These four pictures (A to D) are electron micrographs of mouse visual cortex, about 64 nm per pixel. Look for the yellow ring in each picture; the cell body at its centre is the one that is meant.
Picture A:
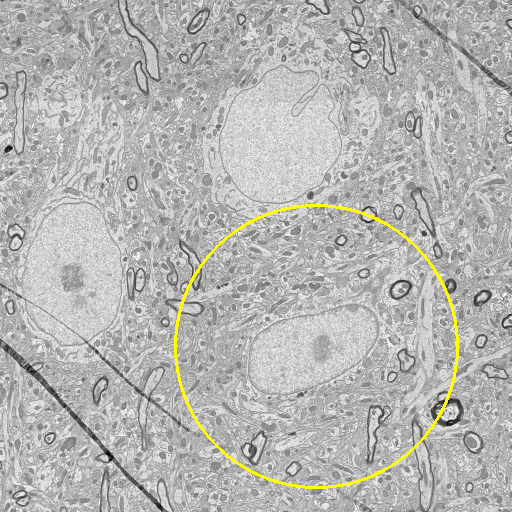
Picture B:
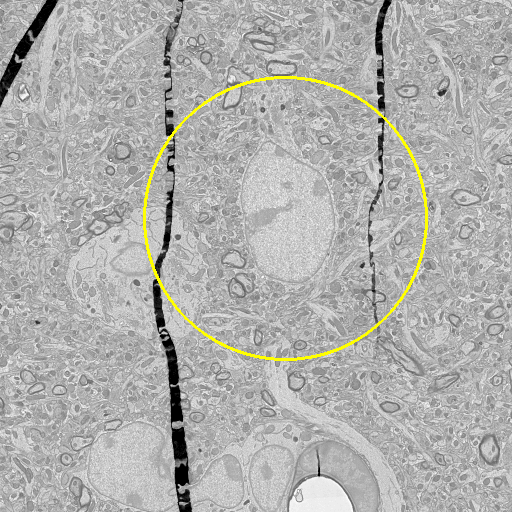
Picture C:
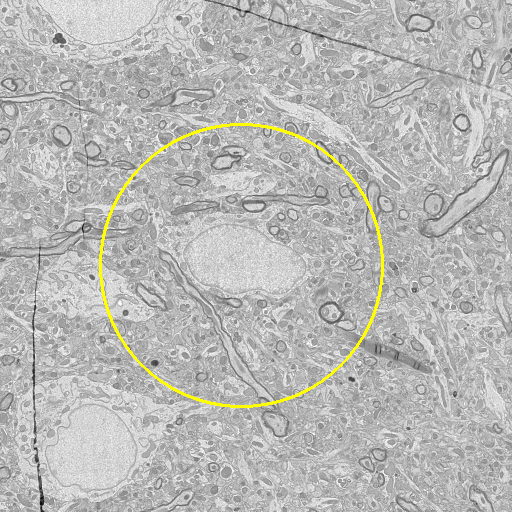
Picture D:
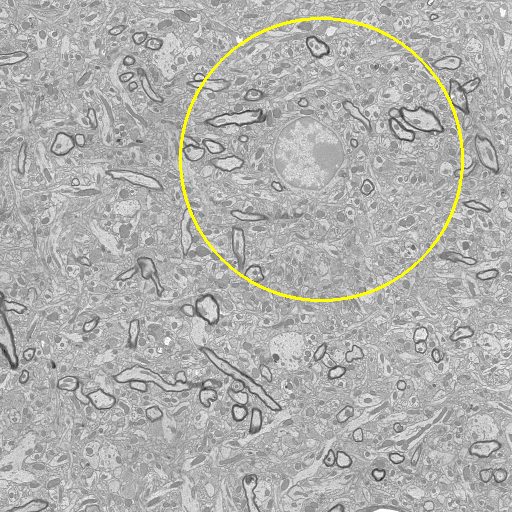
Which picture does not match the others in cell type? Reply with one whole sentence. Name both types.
Unlike the rest, which show astrocytes, picture D shows an oligodendrocyte.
